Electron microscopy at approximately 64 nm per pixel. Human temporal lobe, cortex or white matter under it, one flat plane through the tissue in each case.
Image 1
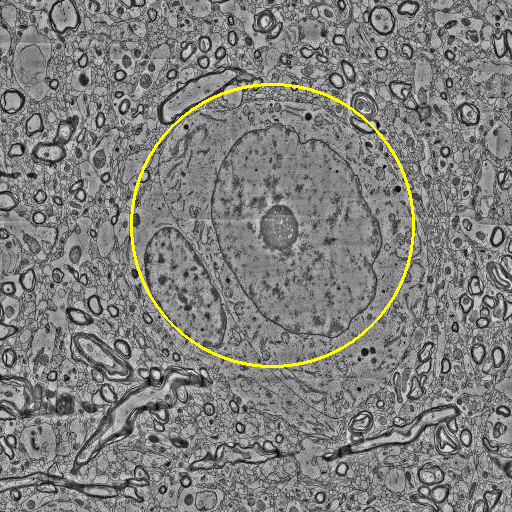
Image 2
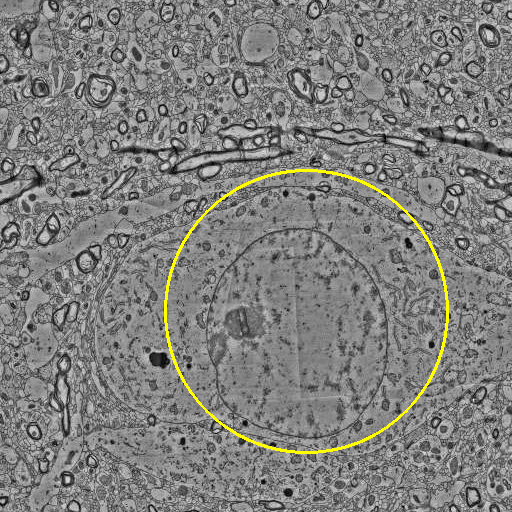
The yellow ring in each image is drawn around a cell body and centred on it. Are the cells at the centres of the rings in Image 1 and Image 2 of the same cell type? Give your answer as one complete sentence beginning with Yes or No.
Yes, both cells are of the same type.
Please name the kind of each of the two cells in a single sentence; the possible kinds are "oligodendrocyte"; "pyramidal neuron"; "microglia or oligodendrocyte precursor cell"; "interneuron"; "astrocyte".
Both pictures show a pyramidal neuron at the centre of the ring.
